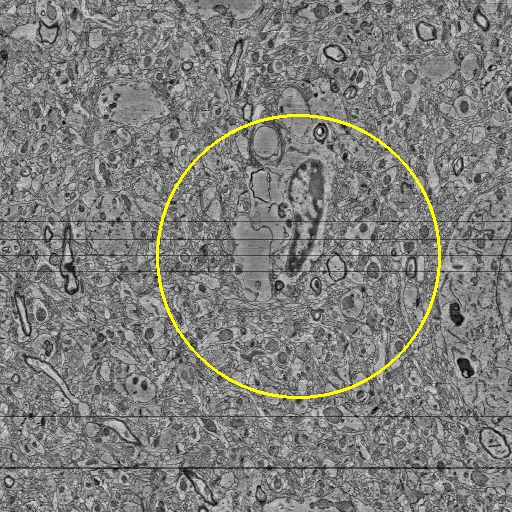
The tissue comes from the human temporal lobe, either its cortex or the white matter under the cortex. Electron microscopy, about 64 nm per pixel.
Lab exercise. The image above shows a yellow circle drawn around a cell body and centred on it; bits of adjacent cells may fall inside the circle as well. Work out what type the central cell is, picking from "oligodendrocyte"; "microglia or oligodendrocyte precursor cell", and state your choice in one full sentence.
In the image above, the cell at the centre of the yellow circle is a microglial cell or oligodendrocyte precursor cell.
